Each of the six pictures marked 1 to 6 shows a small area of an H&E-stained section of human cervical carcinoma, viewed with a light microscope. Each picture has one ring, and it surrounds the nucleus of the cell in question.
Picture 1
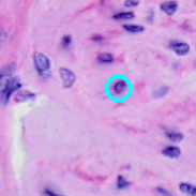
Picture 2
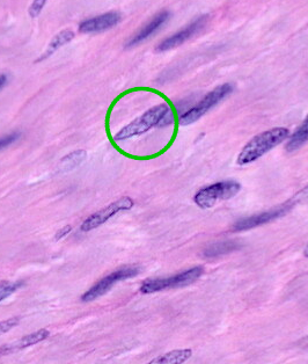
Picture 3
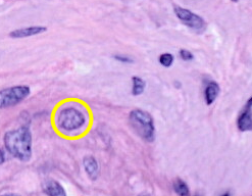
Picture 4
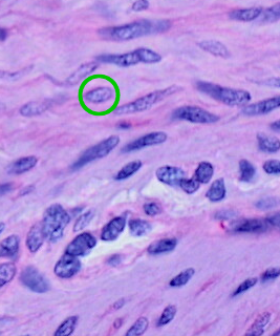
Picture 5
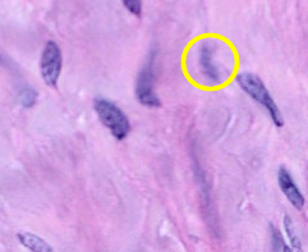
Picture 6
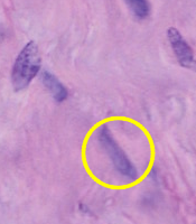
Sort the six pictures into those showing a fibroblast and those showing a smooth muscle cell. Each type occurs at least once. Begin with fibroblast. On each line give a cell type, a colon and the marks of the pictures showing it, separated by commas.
fibroblast: 2, 5, 6
smooth muscle cell: 1, 3, 4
